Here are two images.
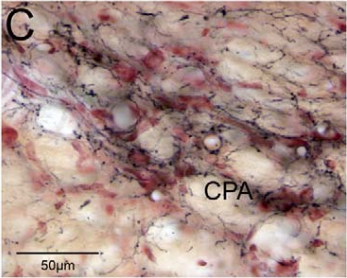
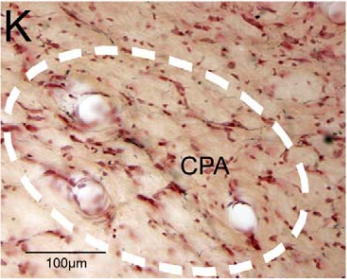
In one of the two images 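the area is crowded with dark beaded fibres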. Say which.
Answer: The first image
